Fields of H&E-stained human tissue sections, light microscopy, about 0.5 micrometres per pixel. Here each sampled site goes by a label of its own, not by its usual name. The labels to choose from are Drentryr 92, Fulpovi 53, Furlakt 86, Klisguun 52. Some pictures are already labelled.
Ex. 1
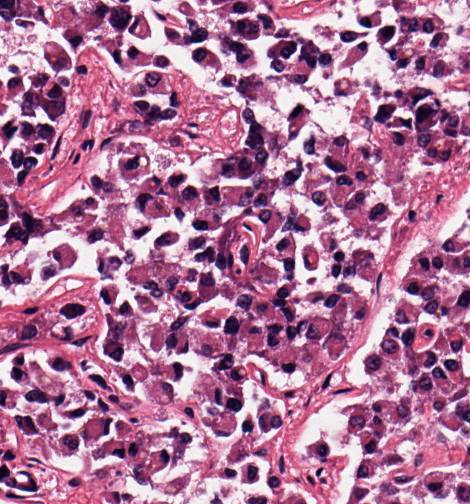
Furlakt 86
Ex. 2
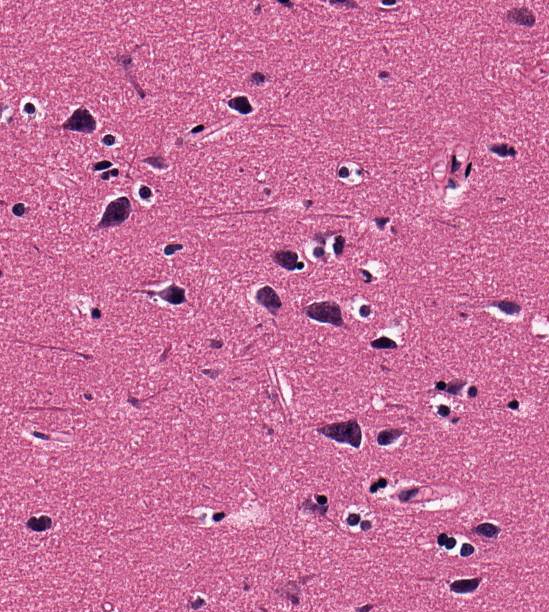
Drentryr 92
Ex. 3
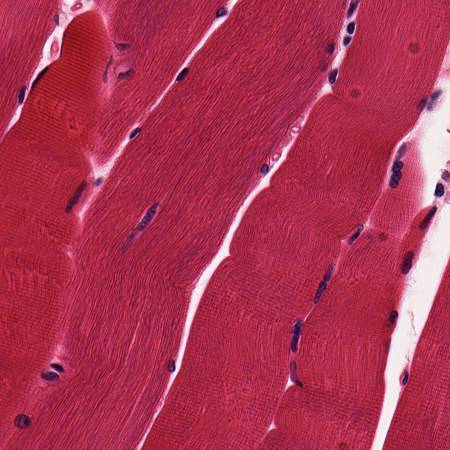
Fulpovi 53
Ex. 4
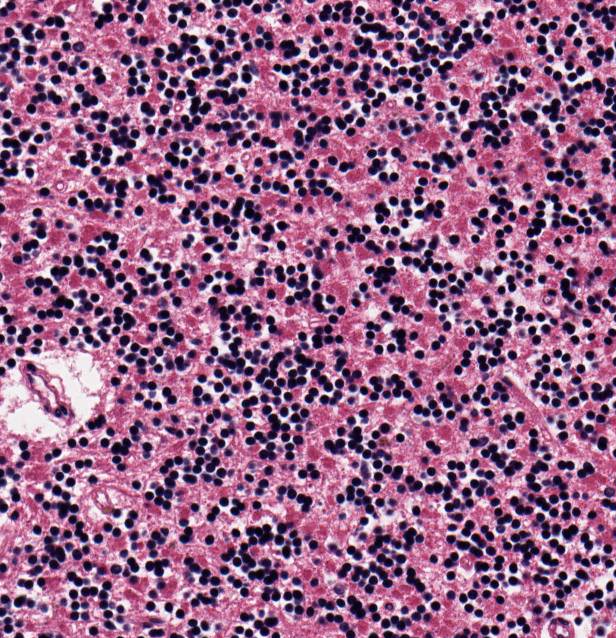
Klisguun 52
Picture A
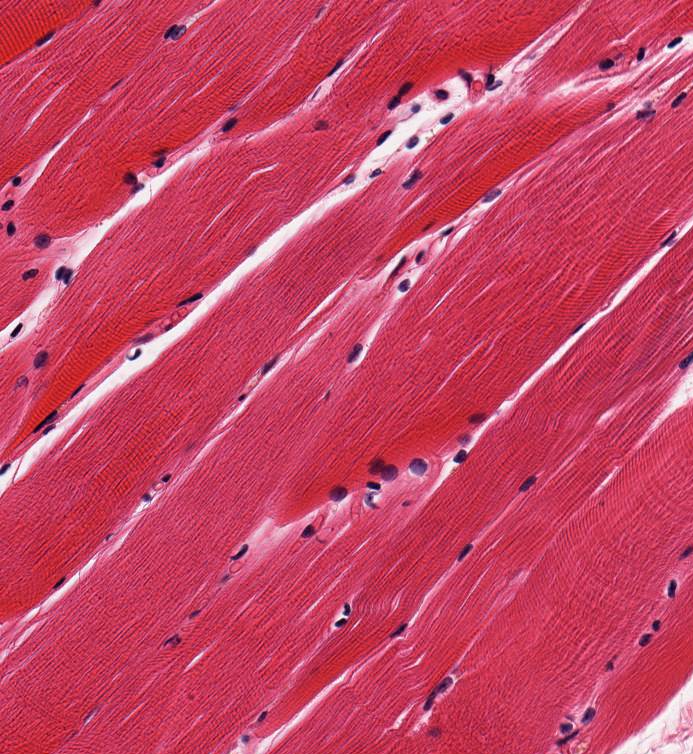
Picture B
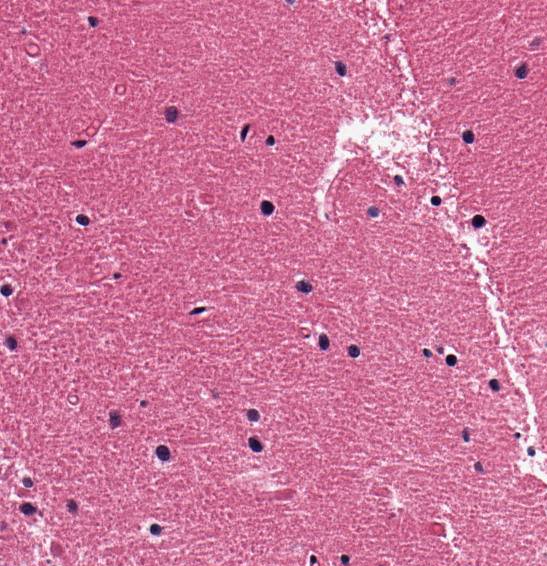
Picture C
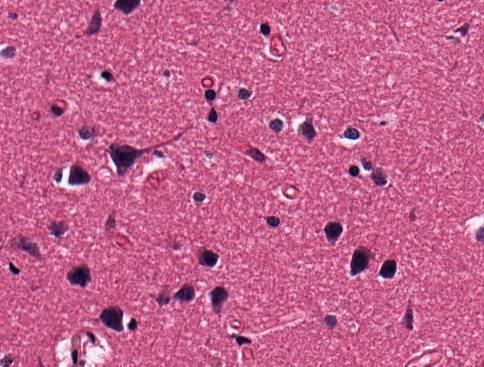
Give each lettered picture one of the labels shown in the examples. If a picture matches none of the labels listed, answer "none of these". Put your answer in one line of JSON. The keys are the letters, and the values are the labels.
{"A": "Fulpovi 53", "B": "Klisguun 52", "C": "Drentryr 92"}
